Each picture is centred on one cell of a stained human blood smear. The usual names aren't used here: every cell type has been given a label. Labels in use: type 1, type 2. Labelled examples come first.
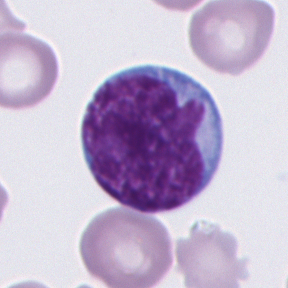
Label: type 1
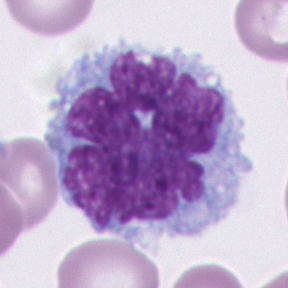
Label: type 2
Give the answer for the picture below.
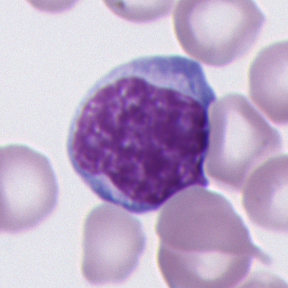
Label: type 1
